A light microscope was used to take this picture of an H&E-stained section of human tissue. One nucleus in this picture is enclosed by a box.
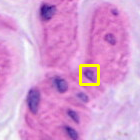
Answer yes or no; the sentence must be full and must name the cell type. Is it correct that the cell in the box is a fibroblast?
No, the cell in the box is regarded as a smooth muscle cell rather than a fibroblast.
